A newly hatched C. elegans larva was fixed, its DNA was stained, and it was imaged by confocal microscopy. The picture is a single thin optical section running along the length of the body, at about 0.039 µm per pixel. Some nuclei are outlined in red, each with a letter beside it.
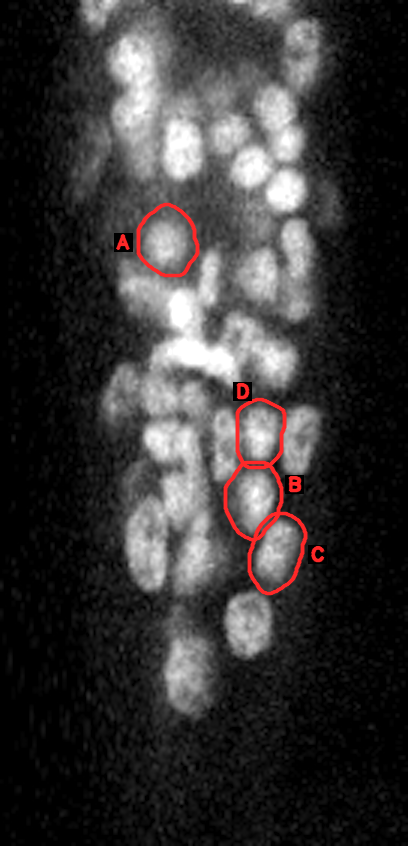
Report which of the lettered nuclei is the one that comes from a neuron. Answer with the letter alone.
A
